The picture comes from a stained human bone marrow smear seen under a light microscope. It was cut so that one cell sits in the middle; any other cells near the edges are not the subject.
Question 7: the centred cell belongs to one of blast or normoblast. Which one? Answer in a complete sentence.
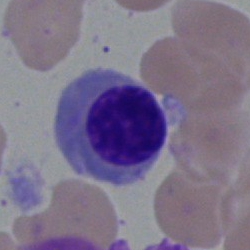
At the crop's centre, the cell is a normoblast.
